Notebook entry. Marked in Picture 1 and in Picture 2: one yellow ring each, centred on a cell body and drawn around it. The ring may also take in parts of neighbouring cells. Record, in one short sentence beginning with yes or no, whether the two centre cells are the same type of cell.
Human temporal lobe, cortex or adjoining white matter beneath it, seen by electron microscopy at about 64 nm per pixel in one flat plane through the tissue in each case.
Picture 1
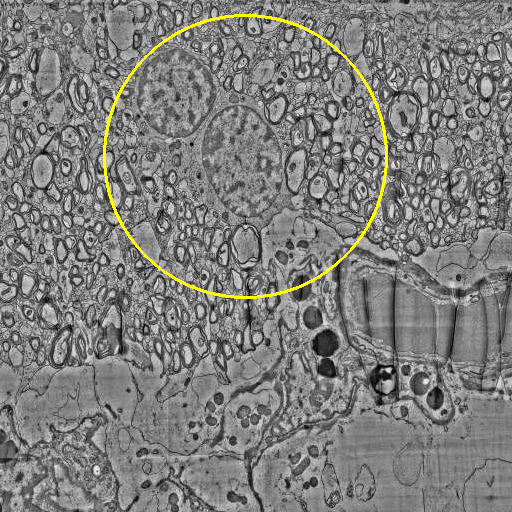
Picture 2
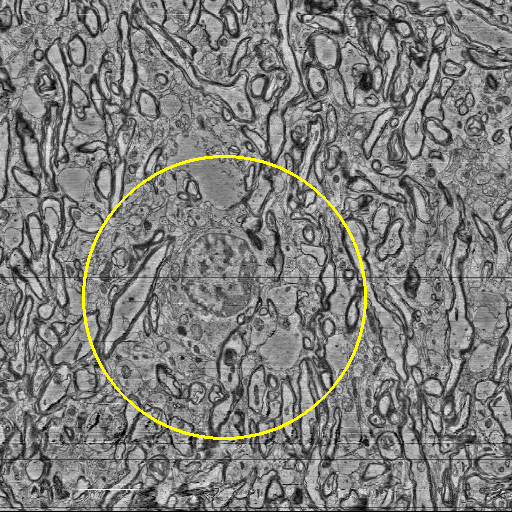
Yes, both are the same type of cell.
